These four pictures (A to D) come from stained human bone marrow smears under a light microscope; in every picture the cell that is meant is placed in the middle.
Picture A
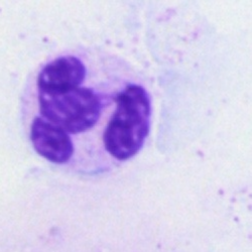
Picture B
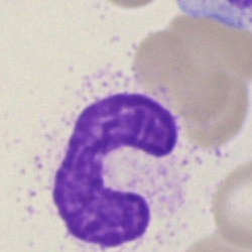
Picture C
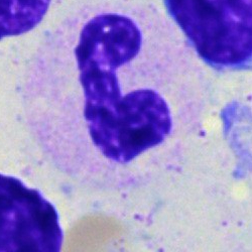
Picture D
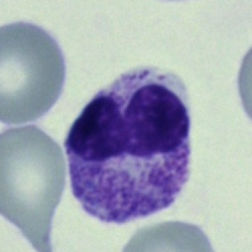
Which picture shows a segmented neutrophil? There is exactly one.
A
